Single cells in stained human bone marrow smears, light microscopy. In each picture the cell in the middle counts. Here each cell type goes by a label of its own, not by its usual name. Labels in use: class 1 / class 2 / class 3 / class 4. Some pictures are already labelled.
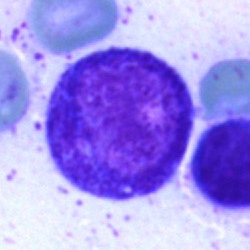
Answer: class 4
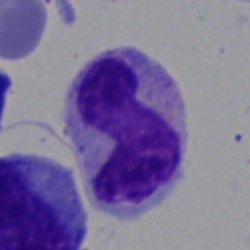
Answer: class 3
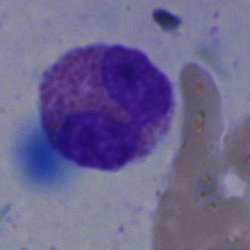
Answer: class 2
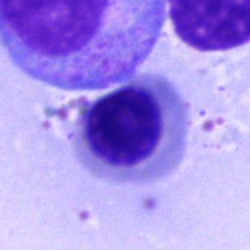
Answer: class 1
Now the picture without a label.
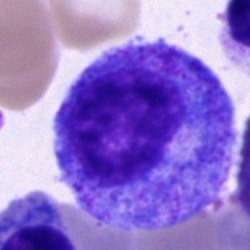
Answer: class 4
